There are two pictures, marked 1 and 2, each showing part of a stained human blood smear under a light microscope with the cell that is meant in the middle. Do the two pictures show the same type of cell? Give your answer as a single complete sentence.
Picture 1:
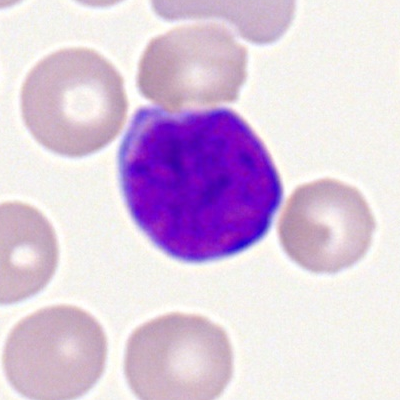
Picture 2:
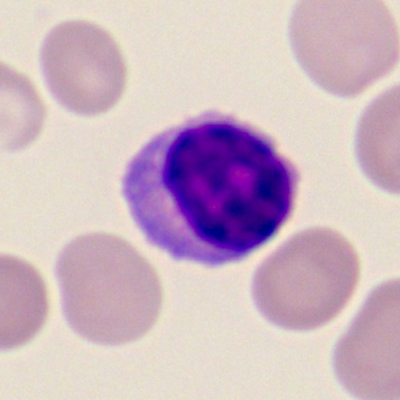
No, the types are not the same, since picture 1 shows a myeloblast and picture 2 a lymphocyte.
